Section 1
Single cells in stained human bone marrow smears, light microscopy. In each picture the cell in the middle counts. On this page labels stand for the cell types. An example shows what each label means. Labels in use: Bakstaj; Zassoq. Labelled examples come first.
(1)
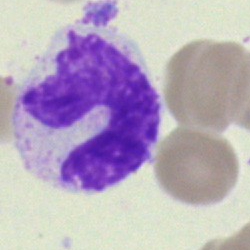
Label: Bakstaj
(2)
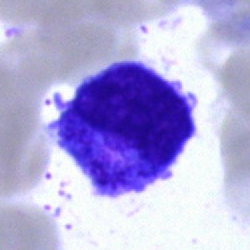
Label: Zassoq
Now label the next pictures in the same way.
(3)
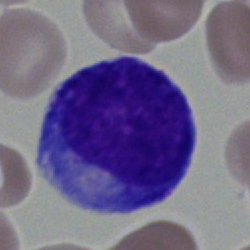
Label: Zassoq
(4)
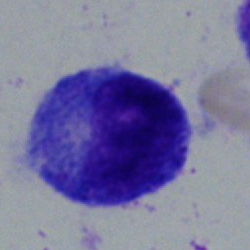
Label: Zassoq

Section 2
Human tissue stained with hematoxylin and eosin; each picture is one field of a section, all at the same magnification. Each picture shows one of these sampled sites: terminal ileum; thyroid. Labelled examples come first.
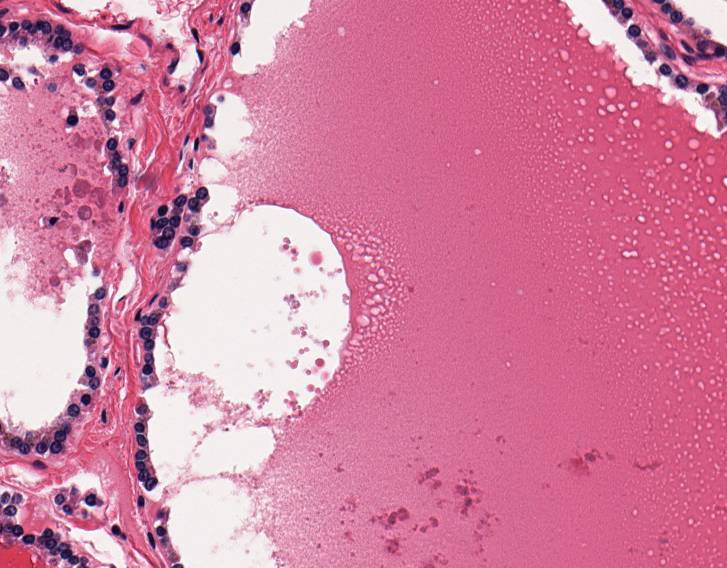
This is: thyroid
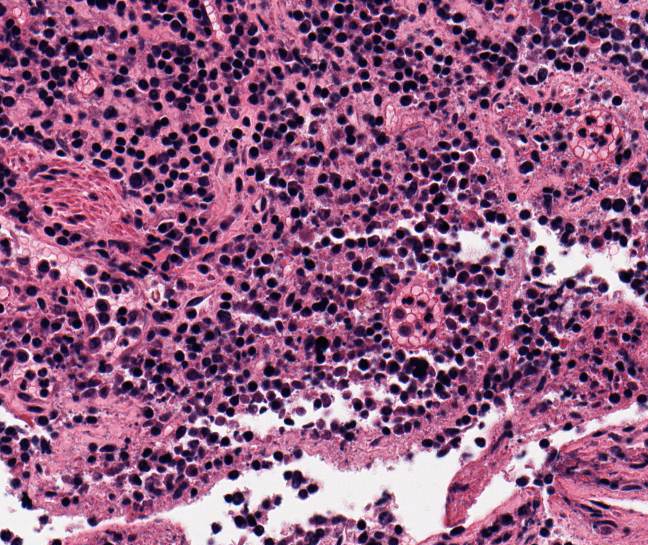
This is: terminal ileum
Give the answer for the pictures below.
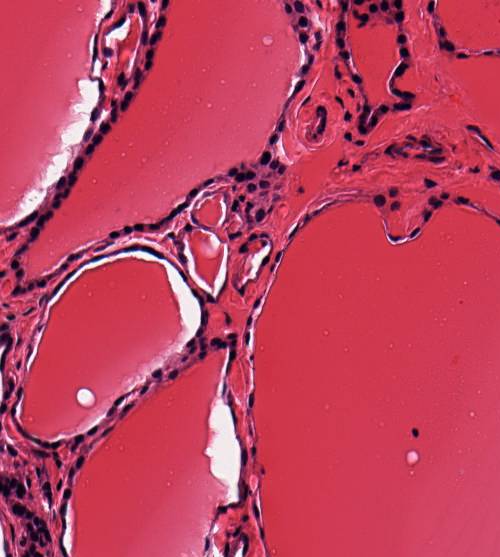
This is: thyroid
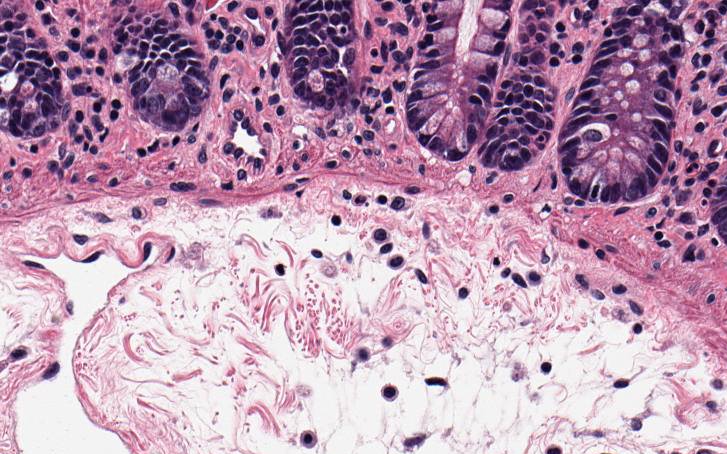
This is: terminal ileum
